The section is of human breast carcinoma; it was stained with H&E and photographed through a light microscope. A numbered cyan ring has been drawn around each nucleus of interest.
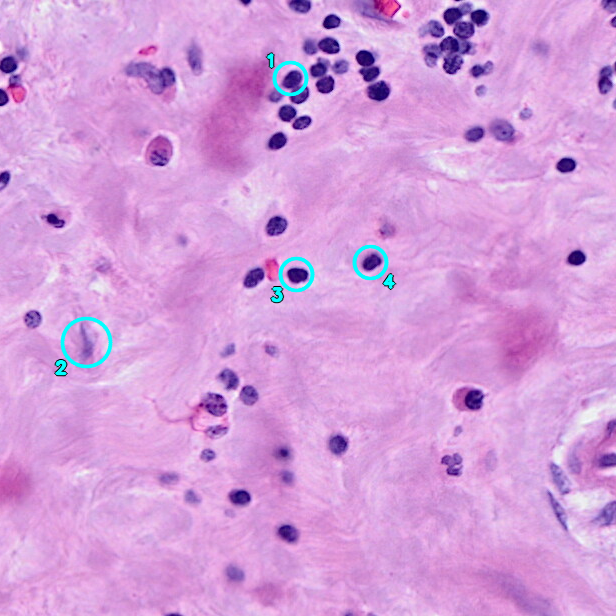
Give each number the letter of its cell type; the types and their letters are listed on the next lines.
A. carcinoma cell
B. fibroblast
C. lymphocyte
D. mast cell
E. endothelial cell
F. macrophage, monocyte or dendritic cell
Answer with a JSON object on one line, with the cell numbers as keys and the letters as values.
{"1": "C", "2": "B", "3": "C", "4": "C"}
